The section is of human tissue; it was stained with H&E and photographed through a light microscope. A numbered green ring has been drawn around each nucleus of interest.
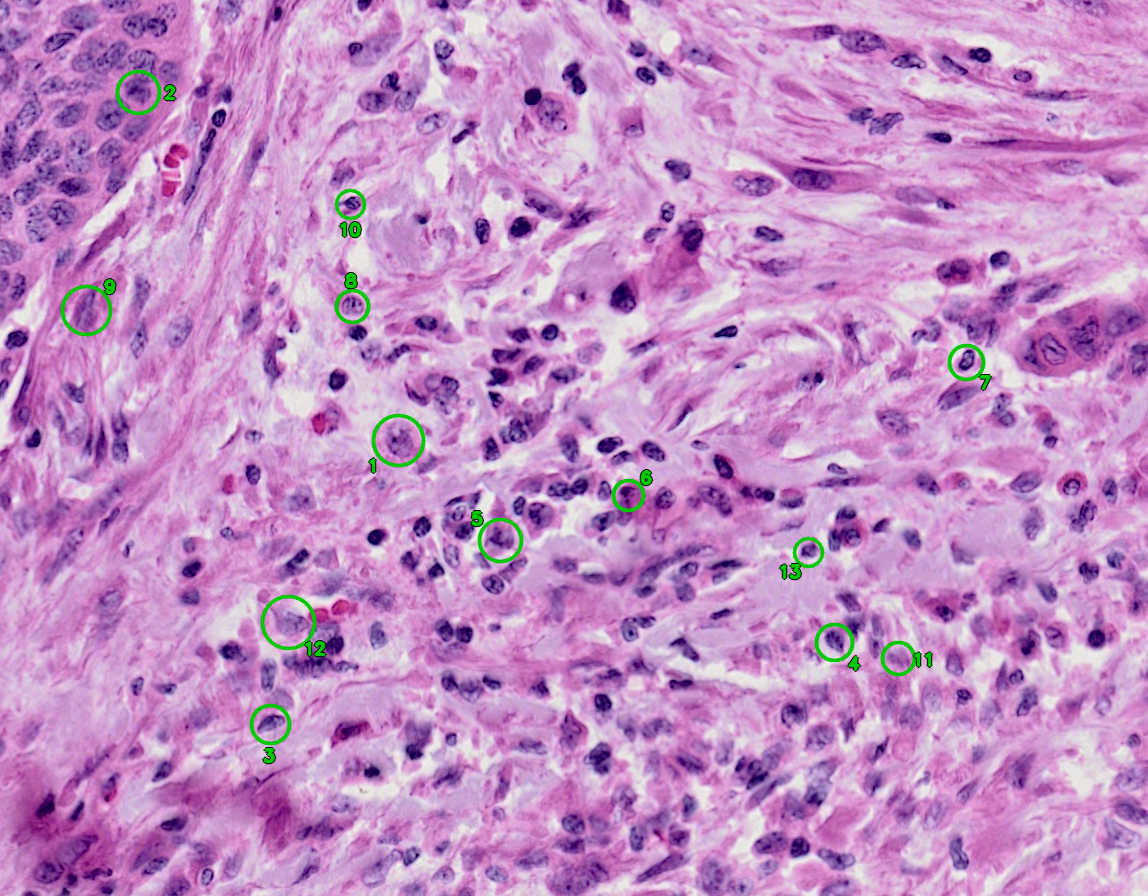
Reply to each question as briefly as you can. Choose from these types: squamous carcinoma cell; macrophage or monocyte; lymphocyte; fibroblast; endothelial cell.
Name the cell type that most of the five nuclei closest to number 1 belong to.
fibroblast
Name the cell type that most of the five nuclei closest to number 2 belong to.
squamous carcinoma cell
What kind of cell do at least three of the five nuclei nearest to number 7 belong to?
endothelial cell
